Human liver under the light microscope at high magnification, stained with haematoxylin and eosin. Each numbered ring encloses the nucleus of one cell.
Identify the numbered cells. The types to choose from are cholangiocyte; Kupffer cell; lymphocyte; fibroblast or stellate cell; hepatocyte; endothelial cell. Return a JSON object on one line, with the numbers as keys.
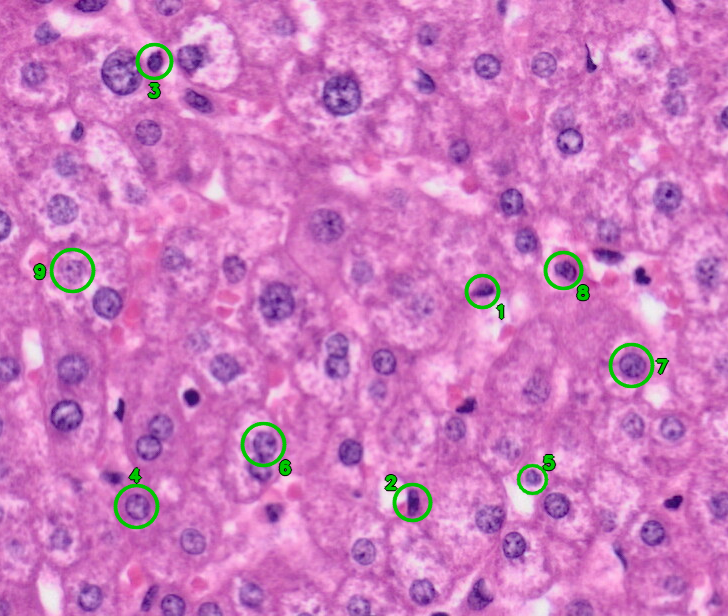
{"1": "fibroblast or stellate cell", "2": "fibroblast or stellate cell", "3": "lymphocyte", "4": "hepatocyte", "5": "lymphocyte", "6": "hepatocyte", "7": "hepatocyte", "8": "Kupffer cell", "9": "hepatocyte"}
